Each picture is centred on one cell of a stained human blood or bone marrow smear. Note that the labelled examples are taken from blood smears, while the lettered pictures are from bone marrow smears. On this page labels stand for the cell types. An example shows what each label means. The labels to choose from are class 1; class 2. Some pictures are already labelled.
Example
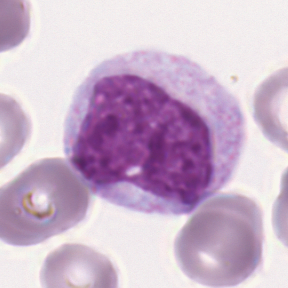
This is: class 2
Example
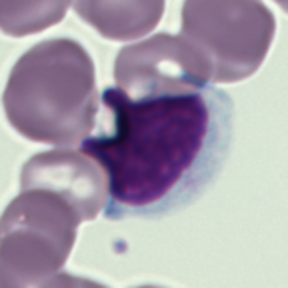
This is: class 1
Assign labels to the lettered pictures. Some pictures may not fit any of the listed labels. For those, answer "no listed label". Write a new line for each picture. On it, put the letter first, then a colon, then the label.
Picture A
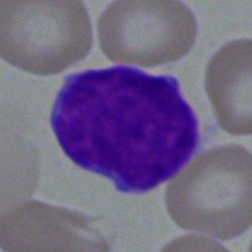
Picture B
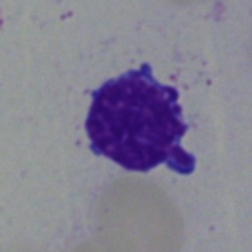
A: no listed label
B: class 1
